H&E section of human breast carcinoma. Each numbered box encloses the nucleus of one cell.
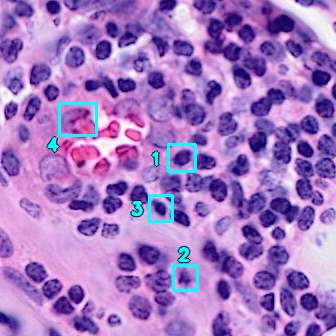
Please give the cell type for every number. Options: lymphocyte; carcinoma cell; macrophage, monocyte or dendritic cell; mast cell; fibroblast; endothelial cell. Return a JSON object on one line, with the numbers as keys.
{"1": "lymphocyte", "2": "lymphocyte", "3": "lymphocyte", "4": "endothelial cell"}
